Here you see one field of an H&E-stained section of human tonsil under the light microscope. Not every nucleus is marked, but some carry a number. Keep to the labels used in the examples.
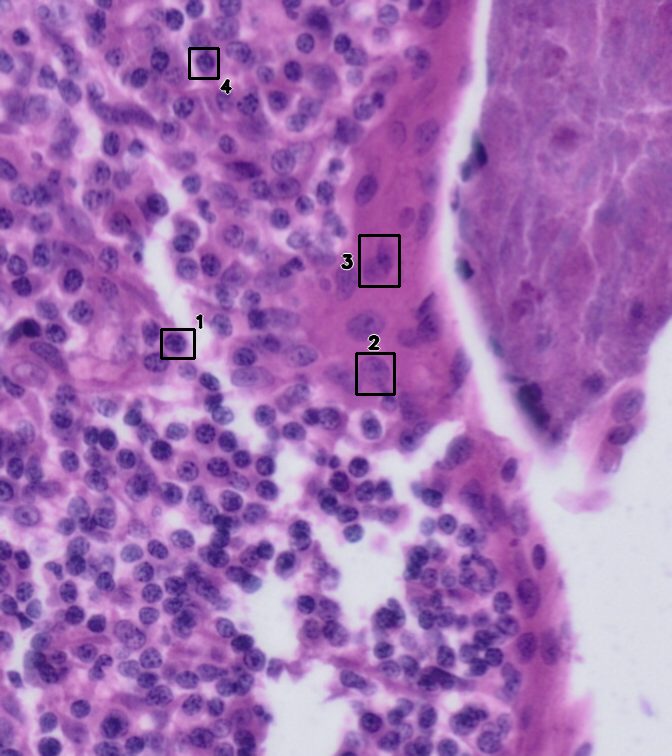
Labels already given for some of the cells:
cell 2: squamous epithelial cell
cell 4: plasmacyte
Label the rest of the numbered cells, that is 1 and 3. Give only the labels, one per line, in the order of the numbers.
plasmacyte
squamous epithelial cell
